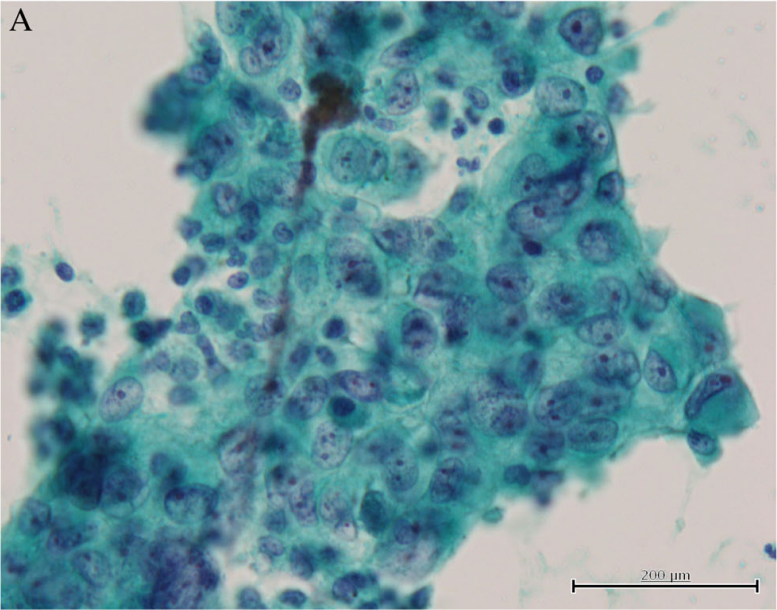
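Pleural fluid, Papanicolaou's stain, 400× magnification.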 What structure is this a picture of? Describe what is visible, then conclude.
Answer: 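Large cells lie packed together in a cohesive sheet. Cells share borders with green-staining cytoplasm between nuclei.
Epithelioid clusters.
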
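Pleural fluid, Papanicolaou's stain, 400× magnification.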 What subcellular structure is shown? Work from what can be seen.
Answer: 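Prominent nucleoli. Many large oval nuclei contain a distinct dark dot. The nuclei are blue-purple with granular chromatin.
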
